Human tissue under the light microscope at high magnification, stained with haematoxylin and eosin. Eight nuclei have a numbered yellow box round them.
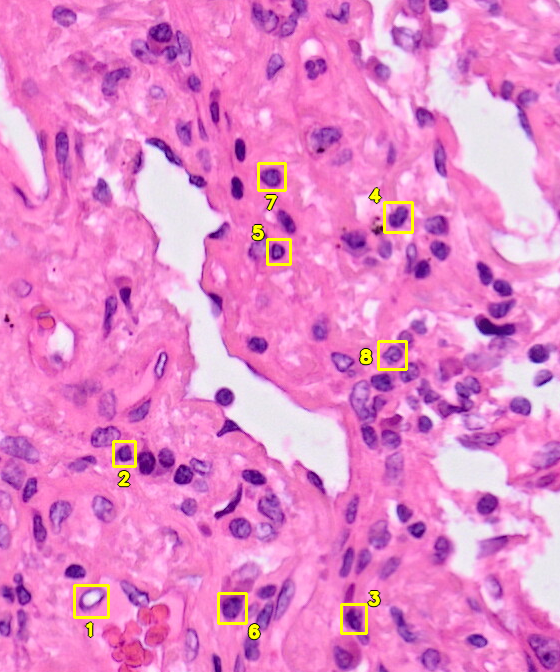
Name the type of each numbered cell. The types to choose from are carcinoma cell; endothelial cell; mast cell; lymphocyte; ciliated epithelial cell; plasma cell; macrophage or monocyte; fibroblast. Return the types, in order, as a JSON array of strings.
["endothelial cell", "lymphocyte", "plasma cell", "lymphocyte", "mast cell", "plasma cell", "mast cell", "lymphocyte"]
